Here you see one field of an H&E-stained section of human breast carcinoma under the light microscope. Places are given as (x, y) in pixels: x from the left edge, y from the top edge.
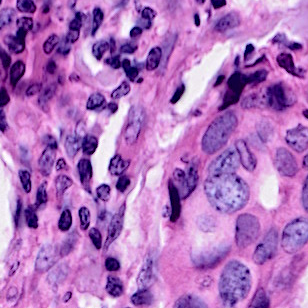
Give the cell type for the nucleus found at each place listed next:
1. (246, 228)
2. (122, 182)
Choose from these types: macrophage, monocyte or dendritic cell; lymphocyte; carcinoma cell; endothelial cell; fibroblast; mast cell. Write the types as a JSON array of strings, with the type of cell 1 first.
["carcinoma cell", "lymphocyte"]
